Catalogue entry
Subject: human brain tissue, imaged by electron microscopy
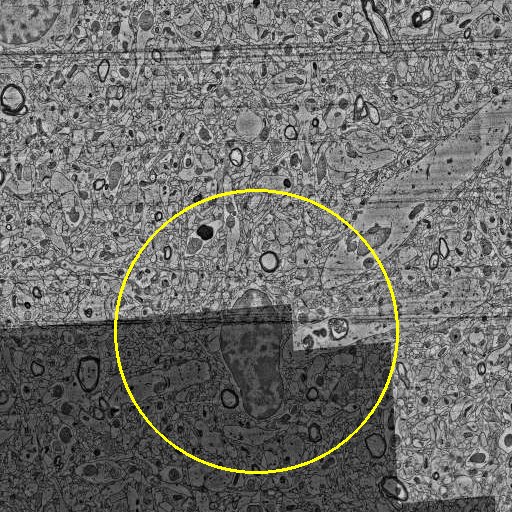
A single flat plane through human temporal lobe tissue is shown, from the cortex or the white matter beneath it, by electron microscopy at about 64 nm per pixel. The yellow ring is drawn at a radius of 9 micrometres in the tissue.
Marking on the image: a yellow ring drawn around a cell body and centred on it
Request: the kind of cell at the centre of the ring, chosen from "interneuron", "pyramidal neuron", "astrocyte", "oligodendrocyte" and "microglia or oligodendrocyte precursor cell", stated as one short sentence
The ring has a microglial cell or oligodendrocyte precursor cell at its centre.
